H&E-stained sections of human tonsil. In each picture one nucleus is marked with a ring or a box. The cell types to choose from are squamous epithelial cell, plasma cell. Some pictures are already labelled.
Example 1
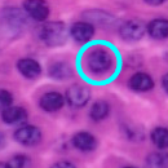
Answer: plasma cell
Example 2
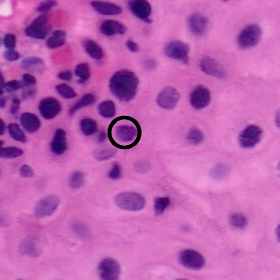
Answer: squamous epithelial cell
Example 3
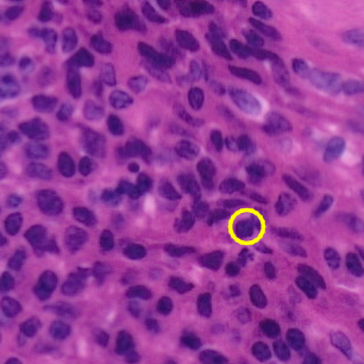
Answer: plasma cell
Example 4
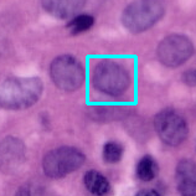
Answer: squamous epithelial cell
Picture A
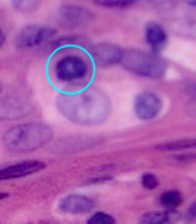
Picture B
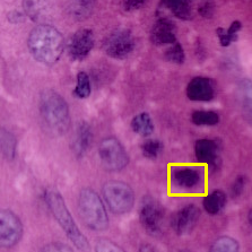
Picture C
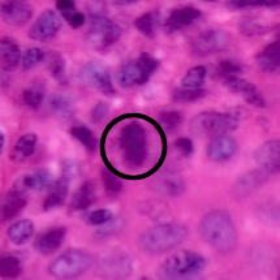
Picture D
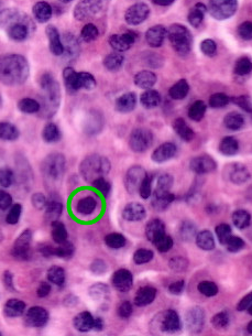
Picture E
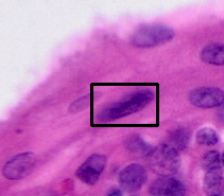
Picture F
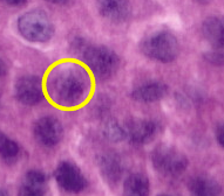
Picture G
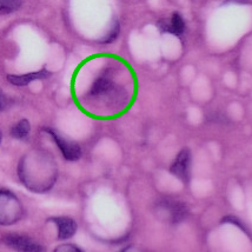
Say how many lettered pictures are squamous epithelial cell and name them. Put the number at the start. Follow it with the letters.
Count: 5 (B, C, E, F, G)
